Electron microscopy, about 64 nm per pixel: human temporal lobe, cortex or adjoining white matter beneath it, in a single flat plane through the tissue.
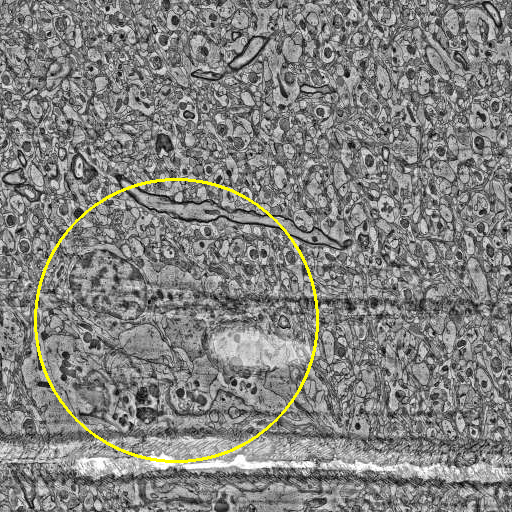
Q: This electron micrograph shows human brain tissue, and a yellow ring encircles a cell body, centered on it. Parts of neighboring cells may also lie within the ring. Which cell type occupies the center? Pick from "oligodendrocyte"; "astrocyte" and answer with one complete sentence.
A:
What sits at the ring's center in this micrograph is an oligodendrocyte, among those choices.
